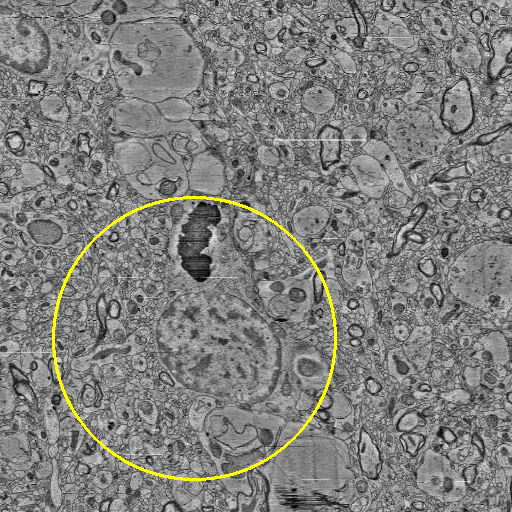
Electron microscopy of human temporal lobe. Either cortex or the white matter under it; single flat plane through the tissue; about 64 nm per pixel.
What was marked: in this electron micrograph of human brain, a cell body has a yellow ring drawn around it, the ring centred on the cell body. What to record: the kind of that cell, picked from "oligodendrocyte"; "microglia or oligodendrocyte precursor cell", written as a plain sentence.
The centred cell is an oligodendrocyte.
